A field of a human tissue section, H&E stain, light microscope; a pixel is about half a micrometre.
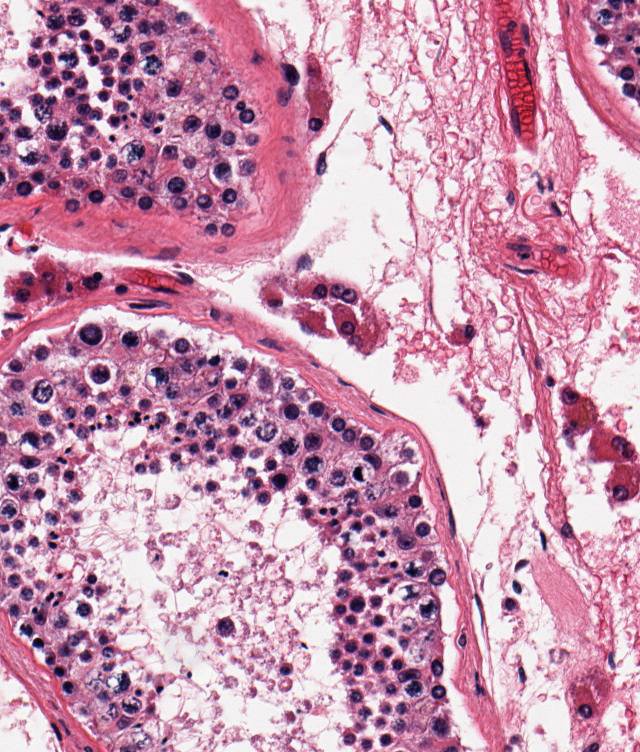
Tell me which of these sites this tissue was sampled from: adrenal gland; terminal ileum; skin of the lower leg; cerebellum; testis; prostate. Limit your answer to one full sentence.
From the testis was taken the tissue in this section.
